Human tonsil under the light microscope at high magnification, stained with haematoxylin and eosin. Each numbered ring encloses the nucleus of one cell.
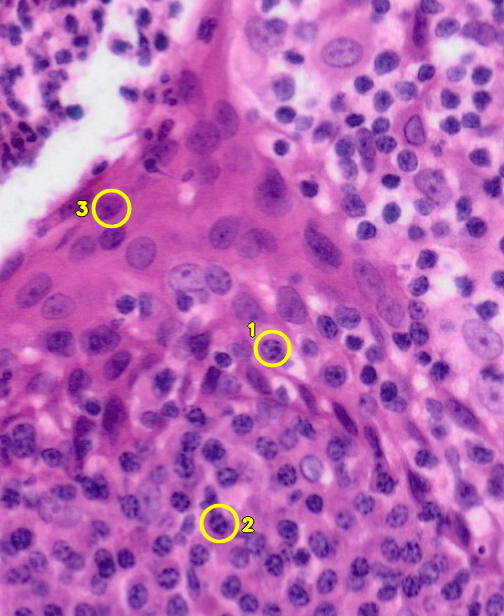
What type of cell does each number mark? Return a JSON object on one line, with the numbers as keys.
{"1": "plasma cell", "2": "plasma cell", "3": "squamous epithelial cell"}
